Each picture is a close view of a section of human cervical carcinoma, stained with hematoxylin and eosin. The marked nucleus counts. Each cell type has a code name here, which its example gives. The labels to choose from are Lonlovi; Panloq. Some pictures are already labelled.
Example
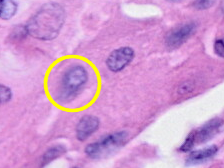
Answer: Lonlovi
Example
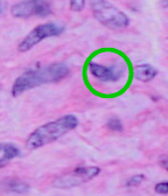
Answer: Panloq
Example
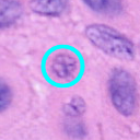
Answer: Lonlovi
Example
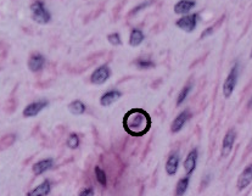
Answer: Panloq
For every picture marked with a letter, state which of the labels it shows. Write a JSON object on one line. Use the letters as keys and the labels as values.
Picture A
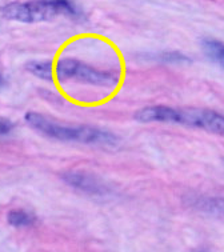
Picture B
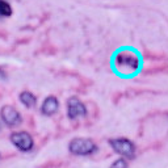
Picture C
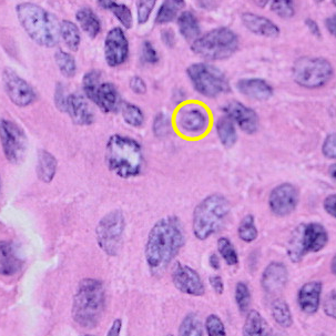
{"A": "Panloq", "B": "Panloq", "C": "Lonlovi"}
